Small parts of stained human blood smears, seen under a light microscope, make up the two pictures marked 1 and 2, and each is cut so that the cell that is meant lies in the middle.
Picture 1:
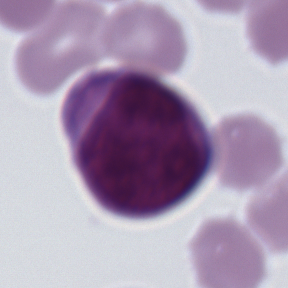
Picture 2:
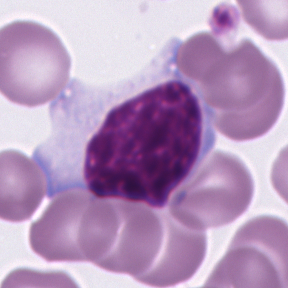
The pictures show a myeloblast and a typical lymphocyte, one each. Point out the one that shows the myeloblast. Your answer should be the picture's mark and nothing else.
1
